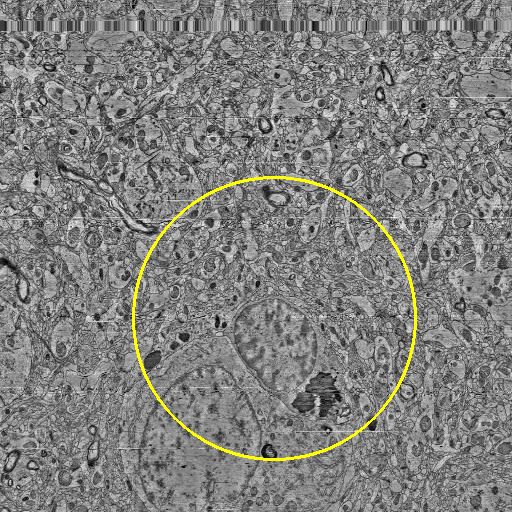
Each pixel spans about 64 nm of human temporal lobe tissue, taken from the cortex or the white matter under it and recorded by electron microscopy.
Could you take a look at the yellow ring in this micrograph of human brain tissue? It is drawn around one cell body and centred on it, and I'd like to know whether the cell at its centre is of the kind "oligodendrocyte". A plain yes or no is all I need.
yes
